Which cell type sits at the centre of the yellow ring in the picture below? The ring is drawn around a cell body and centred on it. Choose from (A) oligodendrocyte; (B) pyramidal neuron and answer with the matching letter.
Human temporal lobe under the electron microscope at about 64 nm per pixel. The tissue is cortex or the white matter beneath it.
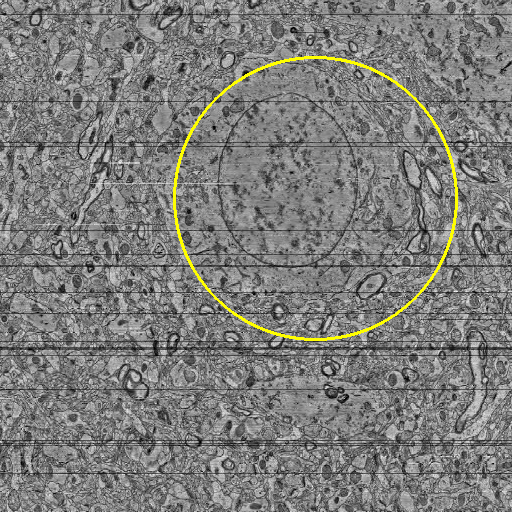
B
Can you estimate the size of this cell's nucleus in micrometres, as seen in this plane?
The nucleus comes to roughly 12 by 9 micrometres in this plane.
